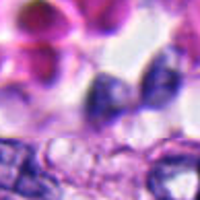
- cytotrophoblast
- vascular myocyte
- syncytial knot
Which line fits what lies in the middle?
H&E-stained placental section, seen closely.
vascular myocyte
